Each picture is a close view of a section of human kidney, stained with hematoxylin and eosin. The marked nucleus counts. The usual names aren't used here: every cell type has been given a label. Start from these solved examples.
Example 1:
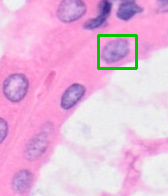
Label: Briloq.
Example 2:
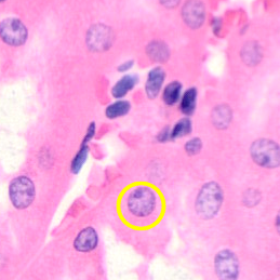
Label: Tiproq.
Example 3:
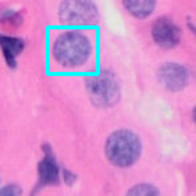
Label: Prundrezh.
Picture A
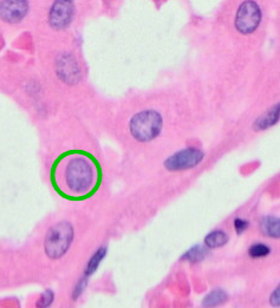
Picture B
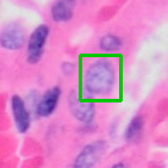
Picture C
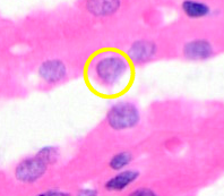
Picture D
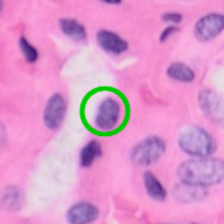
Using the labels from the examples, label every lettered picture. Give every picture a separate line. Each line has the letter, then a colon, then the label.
A: Tiproq.
B: Prundrezh.
C: Briloq.
D: Briloq.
